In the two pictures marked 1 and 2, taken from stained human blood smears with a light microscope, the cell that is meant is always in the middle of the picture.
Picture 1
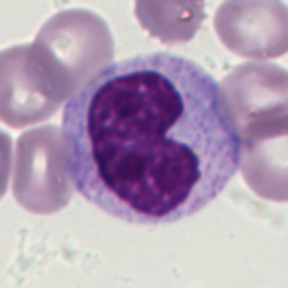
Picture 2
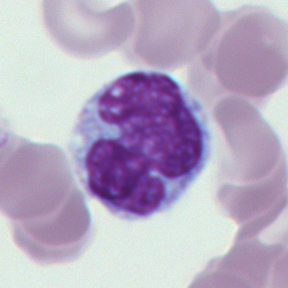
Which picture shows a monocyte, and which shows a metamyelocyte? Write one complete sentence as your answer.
Picture 1 shows a metamyelocyte and picture 2 shows a monocyte.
